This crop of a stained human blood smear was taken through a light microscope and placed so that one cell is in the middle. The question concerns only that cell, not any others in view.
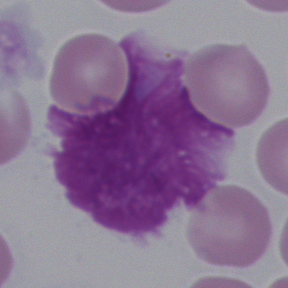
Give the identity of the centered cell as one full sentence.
The cell of interest, in the center, is a smudge cell.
